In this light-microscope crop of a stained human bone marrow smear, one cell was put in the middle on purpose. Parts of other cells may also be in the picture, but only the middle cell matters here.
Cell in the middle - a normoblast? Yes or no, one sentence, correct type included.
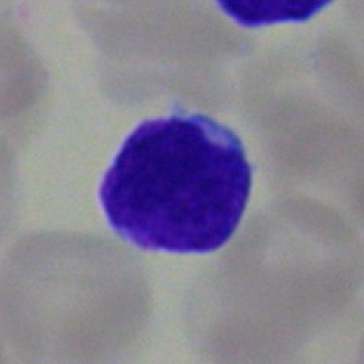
No, looking at the central cell, it is a lymphocyte rather than a normoblast.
